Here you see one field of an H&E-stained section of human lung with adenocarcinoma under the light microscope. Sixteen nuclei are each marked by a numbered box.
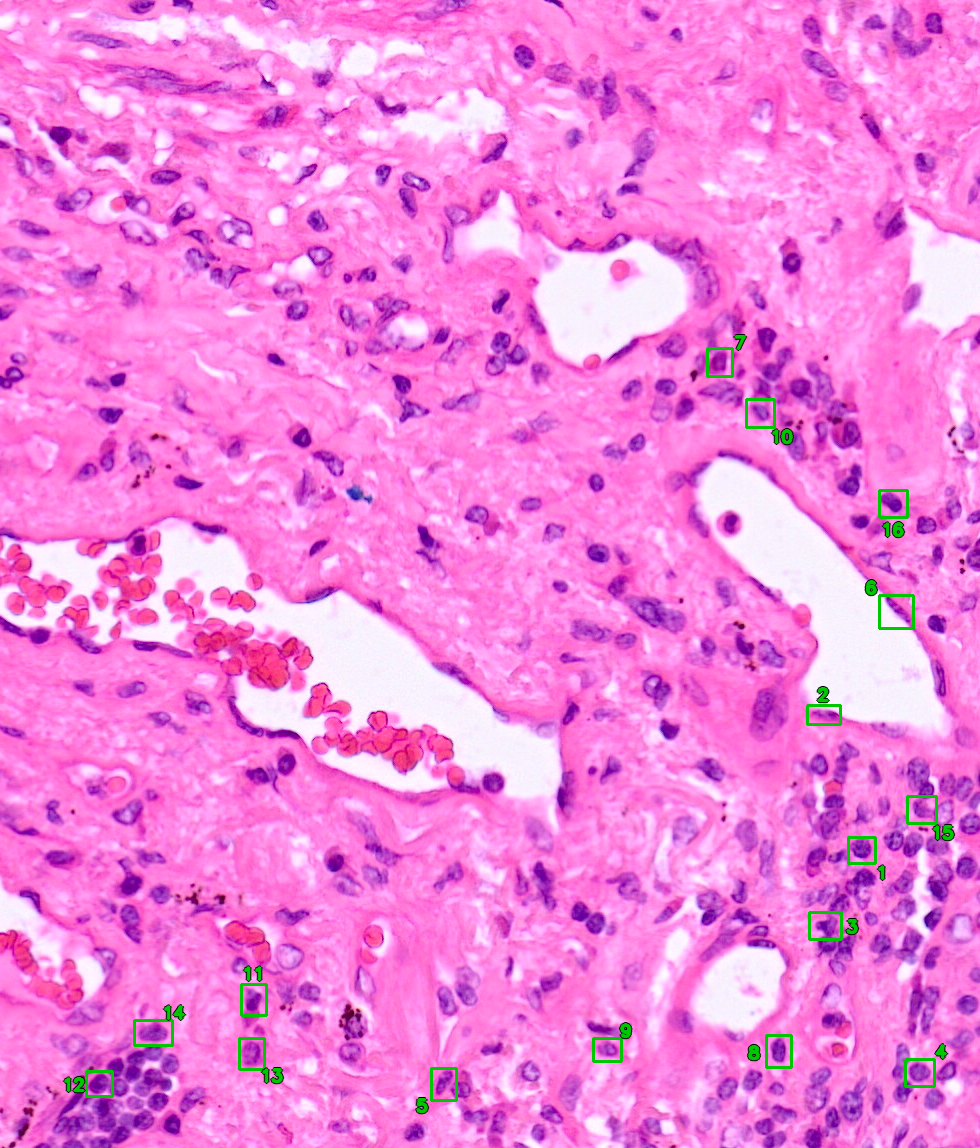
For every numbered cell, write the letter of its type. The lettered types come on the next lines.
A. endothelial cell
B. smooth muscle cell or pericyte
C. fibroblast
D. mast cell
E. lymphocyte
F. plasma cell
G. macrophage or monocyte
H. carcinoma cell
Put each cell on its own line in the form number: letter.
1: E
2: A
3: E
4: E
5: D
6: A
7: F
8: E
9: D
10: E
11: F
12: E
13: F
14: E
15: E
16: E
